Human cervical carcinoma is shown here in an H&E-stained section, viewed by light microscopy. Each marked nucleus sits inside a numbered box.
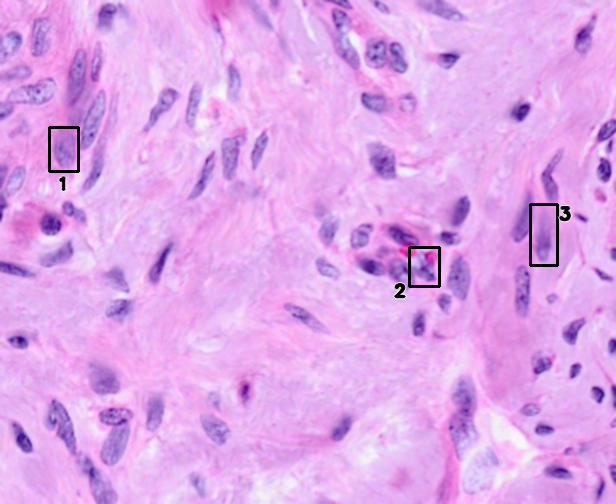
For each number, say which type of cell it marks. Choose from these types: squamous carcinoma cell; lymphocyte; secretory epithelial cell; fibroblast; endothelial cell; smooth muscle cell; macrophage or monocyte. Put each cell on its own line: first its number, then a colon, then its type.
1: smooth muscle cell
2: endothelial cell
3: fibroblast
